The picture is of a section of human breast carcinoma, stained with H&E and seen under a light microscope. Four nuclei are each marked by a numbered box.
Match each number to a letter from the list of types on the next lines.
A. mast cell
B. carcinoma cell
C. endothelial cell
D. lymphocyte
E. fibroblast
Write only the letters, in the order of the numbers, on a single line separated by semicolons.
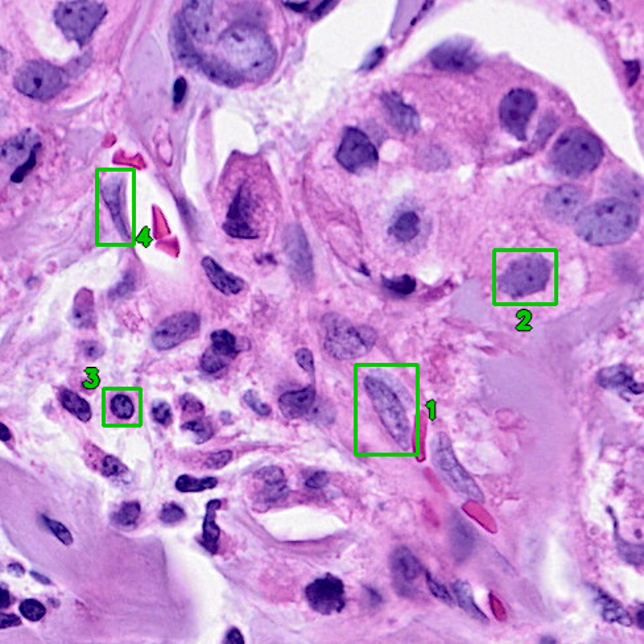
C; B; A; C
